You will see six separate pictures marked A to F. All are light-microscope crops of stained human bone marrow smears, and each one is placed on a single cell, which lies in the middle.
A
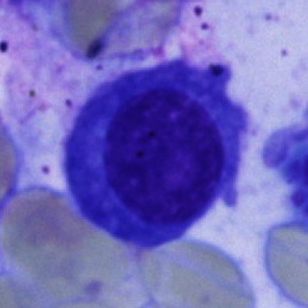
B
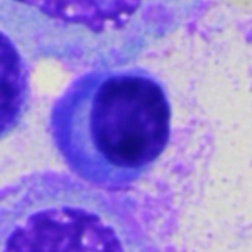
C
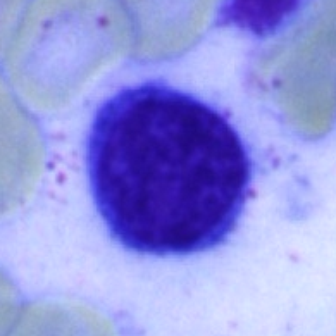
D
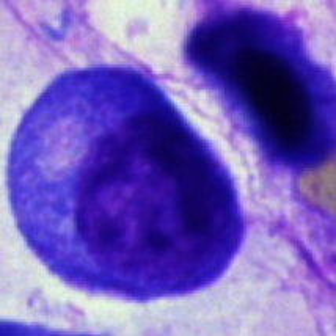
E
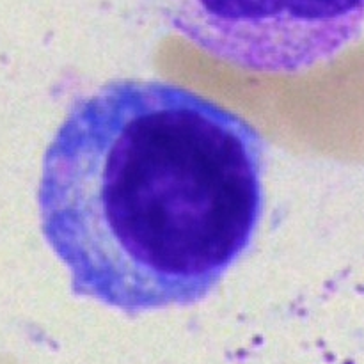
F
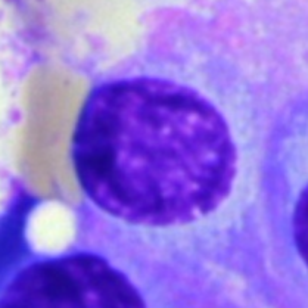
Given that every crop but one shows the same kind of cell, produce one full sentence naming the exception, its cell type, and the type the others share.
The odd one out is crop C, a lymphocyte, and all other crops show plasma cells.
